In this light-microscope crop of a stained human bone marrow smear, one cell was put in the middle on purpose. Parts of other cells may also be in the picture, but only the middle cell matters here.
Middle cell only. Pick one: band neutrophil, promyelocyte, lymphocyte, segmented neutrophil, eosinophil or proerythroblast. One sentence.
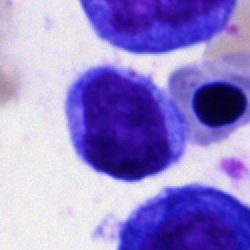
For this crop, the cell in the middle is a lymphocyte.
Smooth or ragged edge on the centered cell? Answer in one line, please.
Nothing juts out from the margin, which is smooth throughout.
